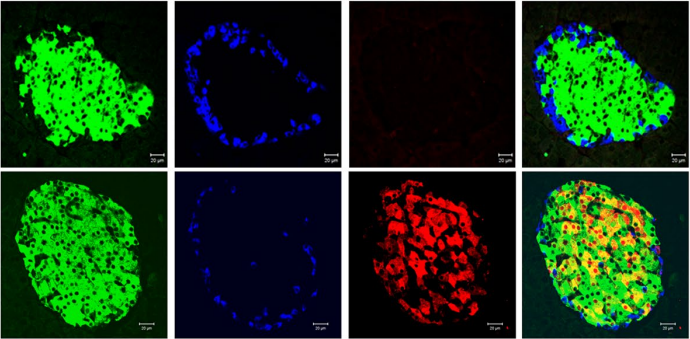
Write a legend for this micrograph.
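These are pancreatic islets, each a compact rounded cluster of cells in which green-stained cells make up most of the core, with dark round nuclei showing as unstained holes in the green cytoplasm. Blue-stained cells are fewer and lie mainly in a rim along the edge of the islet. In the lower row many core cells also carry red fluorescence, which overlaps the green and appears yellow to orange in the merged image, while the upper row shows no red.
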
